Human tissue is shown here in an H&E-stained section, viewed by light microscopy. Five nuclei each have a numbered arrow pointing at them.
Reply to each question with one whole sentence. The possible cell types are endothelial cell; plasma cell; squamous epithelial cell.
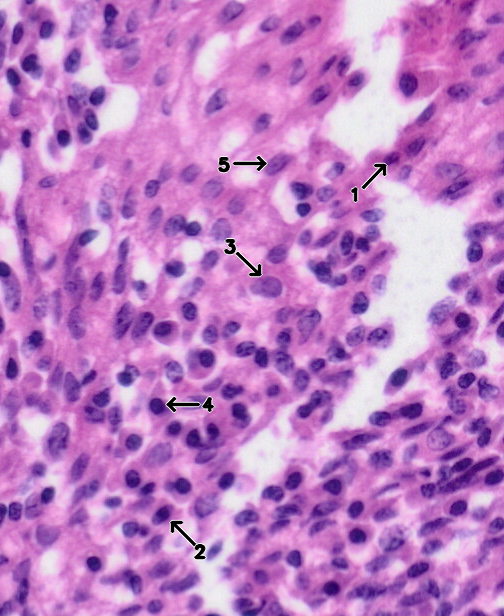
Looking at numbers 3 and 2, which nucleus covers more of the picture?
Nucleus 3 is the larger one, covering about 2 times the area of nucleus 2.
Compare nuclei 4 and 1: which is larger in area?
Nucleus 4 covers more area, about 1.5 times as much as nucleus 1.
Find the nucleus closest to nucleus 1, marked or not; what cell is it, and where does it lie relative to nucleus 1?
The nearest nucleus is that of a squamous epithelial cell and lies below and to the right of nucleus 1.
